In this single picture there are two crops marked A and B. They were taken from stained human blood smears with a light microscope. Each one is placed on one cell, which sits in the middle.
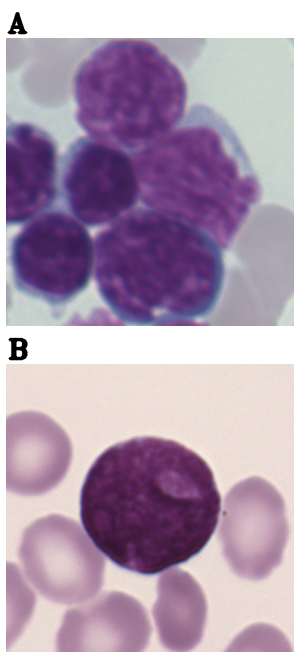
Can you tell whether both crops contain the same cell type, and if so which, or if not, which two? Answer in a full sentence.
Yes, in both crops the centred cells are myeloblasts.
